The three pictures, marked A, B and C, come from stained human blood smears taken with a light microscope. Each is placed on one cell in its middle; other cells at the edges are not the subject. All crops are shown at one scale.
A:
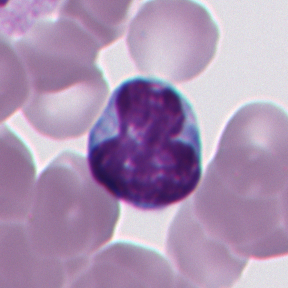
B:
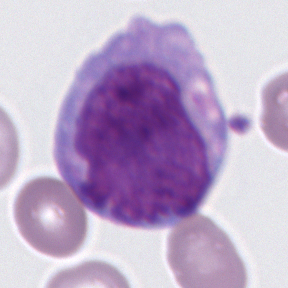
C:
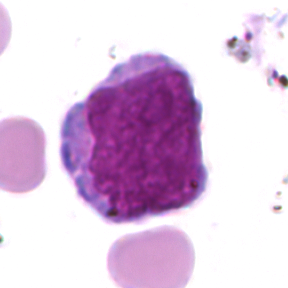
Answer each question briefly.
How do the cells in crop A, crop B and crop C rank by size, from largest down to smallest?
B, C, A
